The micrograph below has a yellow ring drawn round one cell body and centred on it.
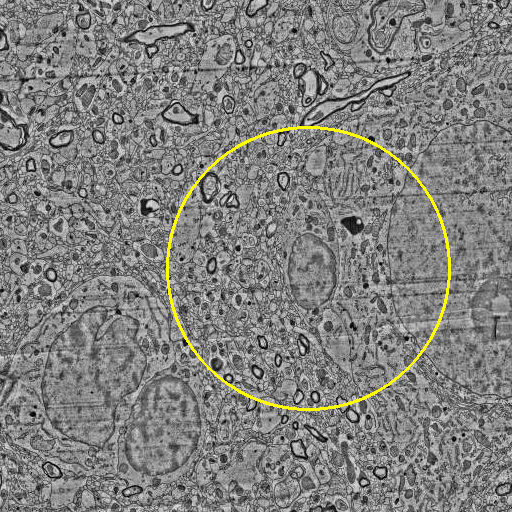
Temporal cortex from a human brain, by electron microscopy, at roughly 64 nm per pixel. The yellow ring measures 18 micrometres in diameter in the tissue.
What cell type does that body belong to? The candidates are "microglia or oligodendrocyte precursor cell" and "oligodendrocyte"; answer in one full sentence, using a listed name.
This is an oligodendrocyte, the cell whose body lies at the centre of the ring.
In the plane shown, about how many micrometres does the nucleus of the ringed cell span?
In this plane the nucleus is clearly longer than it is wide, at approximately 5 by 3 micrometres.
